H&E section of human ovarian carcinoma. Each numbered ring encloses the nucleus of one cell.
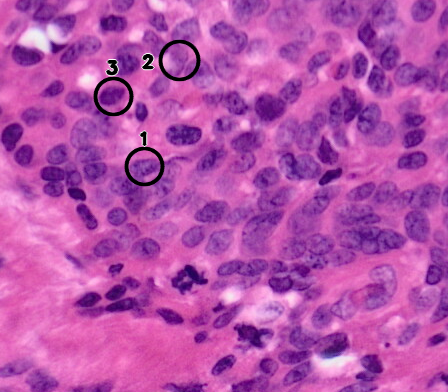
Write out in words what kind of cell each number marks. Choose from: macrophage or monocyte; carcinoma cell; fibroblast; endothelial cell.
Cell 1 is a macrophage or monocyte, cell 2 is a carcinoma cell and cell 3 is a carcinoma cell.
